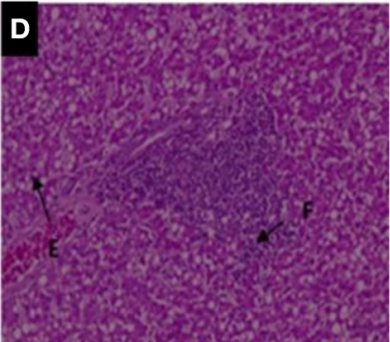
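This is liver tissue whose hepatocytes look pale and finely vacuolated, giving the parenchyma a bubbly texture. A large elongated aggregate of densely packed small cells with dark purple nuclei occupies the centre, a local lymphocytic infiltration. At the left edge a cluster of red blood cells can be seen beside the parenchyma.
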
